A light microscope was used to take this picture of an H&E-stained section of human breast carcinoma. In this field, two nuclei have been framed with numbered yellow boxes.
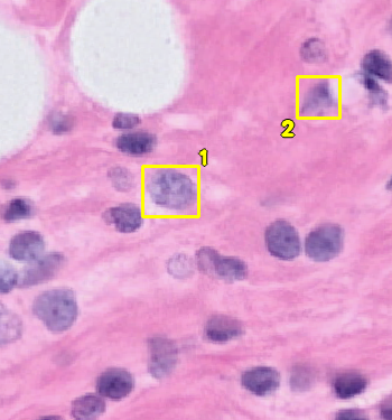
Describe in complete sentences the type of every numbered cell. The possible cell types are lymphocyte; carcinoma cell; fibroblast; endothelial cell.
Cell 1 is a carcinoma cell and cell 2 is a fibroblast.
